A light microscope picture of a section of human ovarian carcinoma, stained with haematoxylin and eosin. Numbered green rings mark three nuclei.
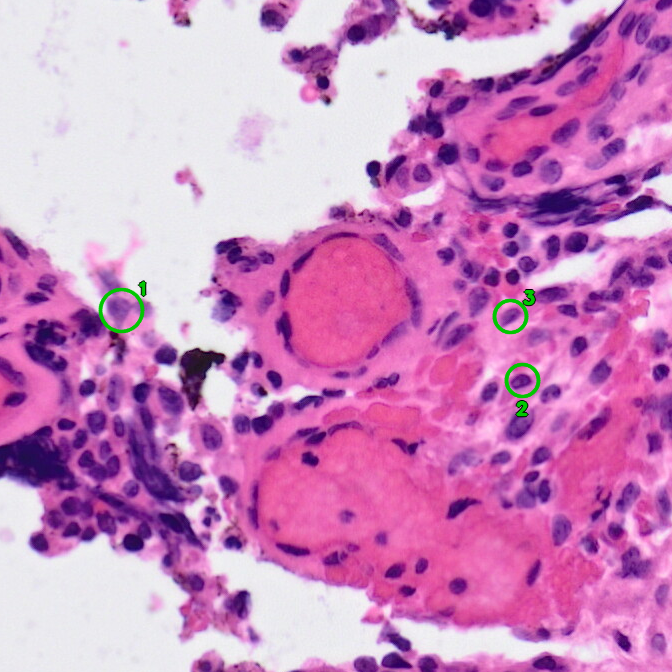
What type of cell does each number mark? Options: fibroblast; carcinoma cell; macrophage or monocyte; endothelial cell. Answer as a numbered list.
1. carcinoma cell
2. fibroblast
3. fibroblast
